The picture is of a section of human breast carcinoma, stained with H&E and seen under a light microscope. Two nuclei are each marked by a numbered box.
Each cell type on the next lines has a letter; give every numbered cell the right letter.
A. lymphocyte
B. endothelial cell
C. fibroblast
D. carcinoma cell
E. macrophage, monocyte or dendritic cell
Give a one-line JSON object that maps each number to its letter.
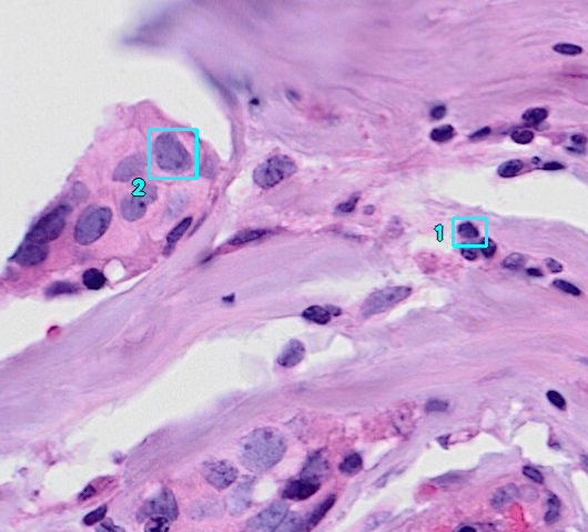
{"1": "A", "2": "D"}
